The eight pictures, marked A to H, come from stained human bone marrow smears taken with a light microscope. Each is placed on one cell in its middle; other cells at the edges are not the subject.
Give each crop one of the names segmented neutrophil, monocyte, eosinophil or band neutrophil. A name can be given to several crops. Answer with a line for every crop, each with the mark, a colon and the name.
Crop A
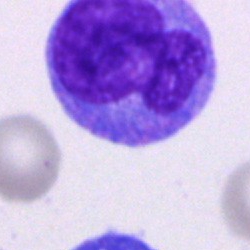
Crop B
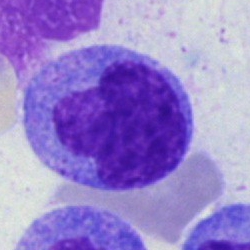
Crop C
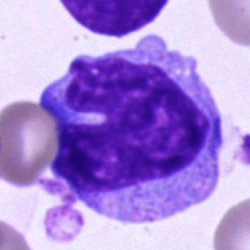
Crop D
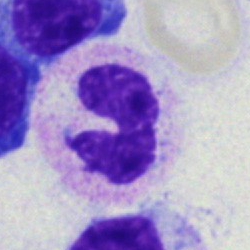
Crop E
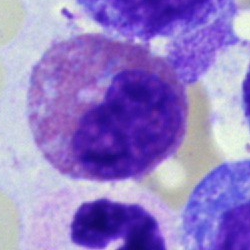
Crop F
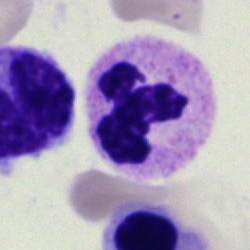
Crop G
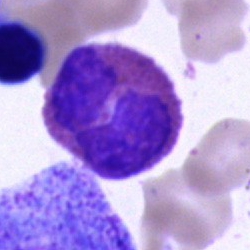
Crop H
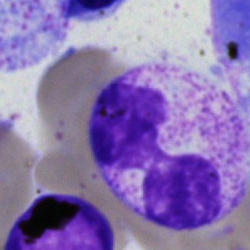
A: monocyte
B: monocyte
C: monocyte
D: band neutrophil
E: eosinophil
F: segmented neutrophil
G: eosinophil
H: segmented neutrophil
